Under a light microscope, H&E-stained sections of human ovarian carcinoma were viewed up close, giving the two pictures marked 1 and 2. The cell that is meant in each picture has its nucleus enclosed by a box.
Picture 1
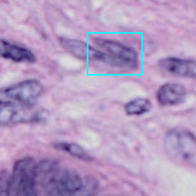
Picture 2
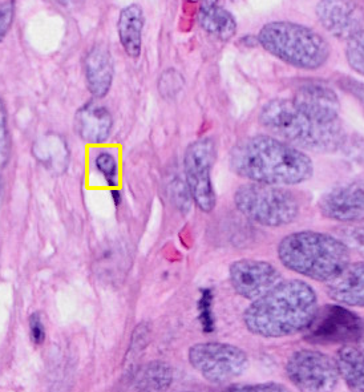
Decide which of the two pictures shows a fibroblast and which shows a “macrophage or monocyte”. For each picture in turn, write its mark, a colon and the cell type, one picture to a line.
1: fibroblast
2: macrophage or monocyte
